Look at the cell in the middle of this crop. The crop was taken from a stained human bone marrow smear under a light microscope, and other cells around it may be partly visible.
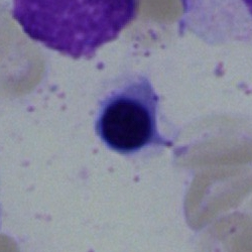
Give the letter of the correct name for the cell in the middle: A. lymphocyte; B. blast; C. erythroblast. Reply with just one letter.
C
